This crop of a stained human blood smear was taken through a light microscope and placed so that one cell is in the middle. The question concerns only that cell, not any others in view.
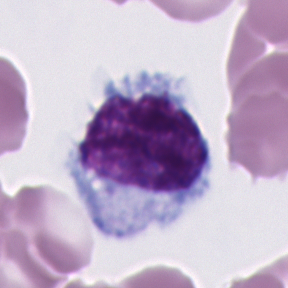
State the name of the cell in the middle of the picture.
hairy cell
